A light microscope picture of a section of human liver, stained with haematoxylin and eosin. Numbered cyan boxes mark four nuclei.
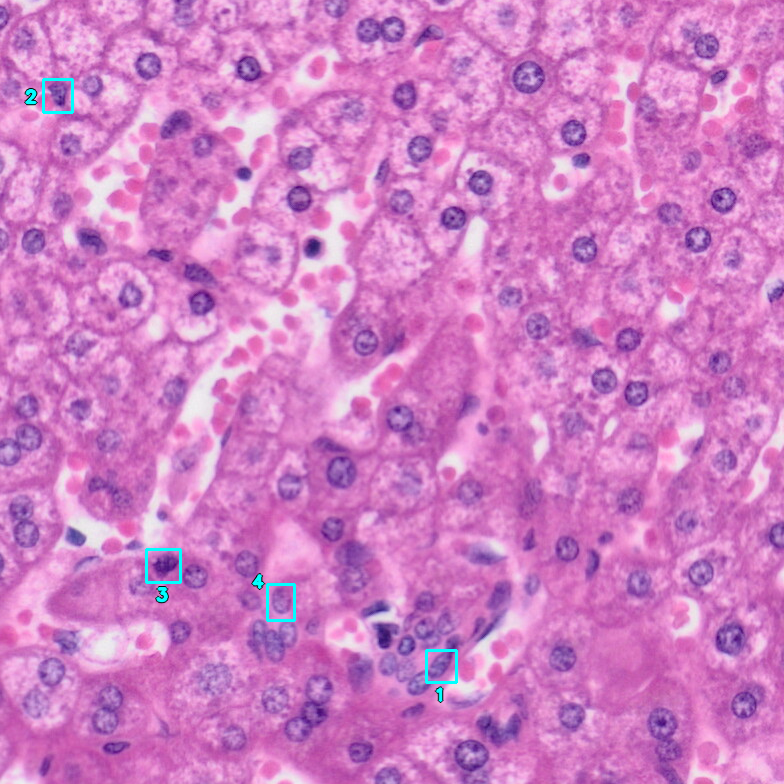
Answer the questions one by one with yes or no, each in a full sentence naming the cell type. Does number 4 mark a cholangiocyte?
Yes, the cell marked by the number 4 is a cholangiocyte.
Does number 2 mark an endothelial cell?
Yes, the one numbered 2 is an endothelial cell.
